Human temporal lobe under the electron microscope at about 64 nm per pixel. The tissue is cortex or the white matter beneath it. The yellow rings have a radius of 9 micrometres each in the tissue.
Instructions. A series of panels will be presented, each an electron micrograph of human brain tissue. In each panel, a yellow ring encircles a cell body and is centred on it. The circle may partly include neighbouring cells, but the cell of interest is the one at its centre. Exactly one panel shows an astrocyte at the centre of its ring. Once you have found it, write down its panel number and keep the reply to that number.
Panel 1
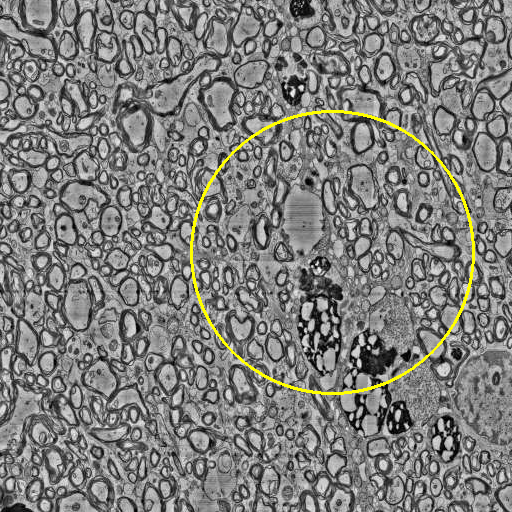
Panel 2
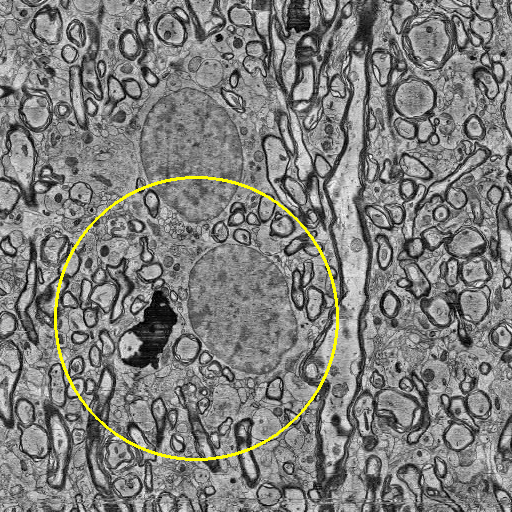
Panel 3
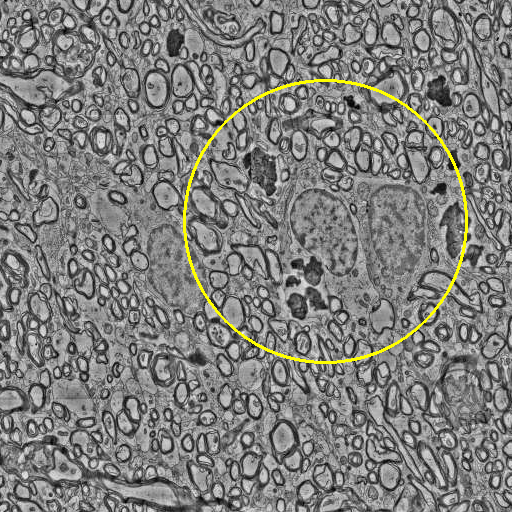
1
